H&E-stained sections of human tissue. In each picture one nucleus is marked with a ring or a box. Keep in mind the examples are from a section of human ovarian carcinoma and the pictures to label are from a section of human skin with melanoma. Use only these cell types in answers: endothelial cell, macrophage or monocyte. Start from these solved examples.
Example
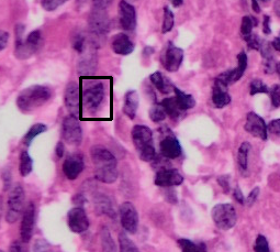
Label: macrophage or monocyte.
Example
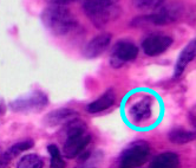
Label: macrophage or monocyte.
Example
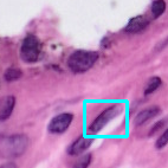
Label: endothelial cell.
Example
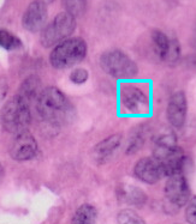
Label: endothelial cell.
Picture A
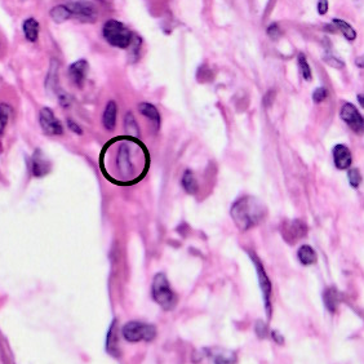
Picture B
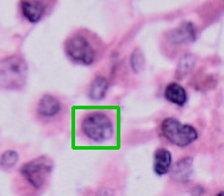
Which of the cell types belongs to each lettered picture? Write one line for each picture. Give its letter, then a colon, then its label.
A: endothelial cell.
B: macrophage or monocyte.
